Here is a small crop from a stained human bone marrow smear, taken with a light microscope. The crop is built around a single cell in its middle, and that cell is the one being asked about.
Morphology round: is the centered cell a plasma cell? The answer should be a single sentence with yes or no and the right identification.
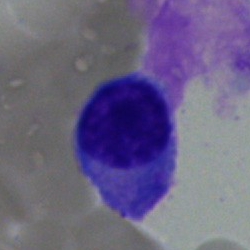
Yes, it is a plasma cell that is seen at the centre of the crop.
